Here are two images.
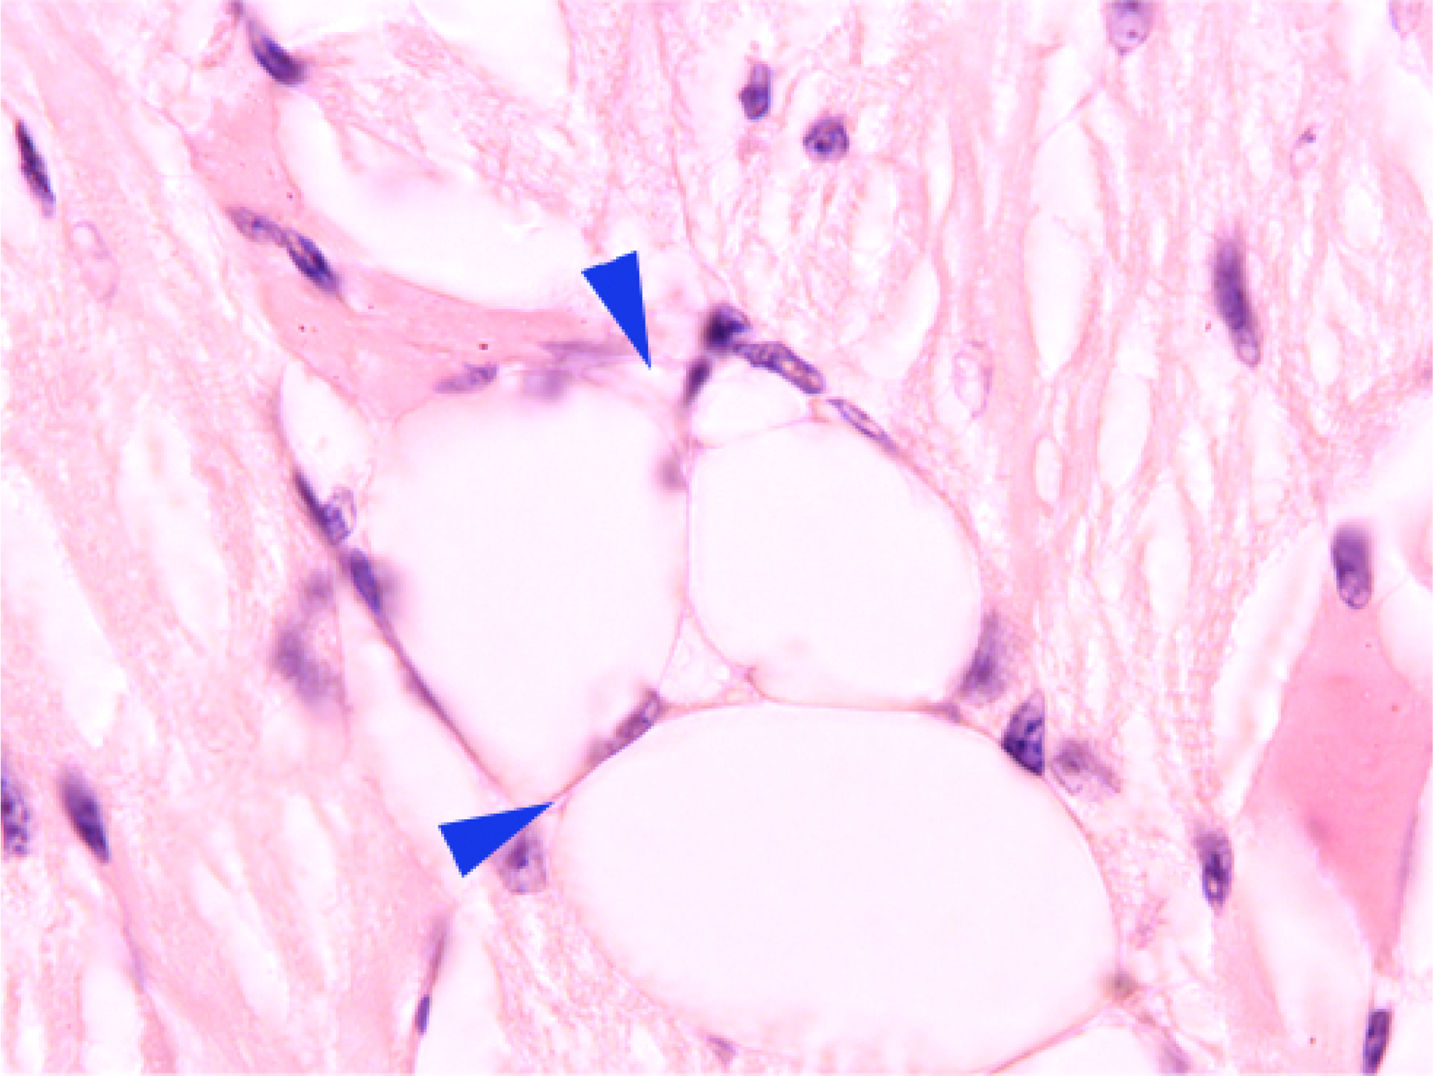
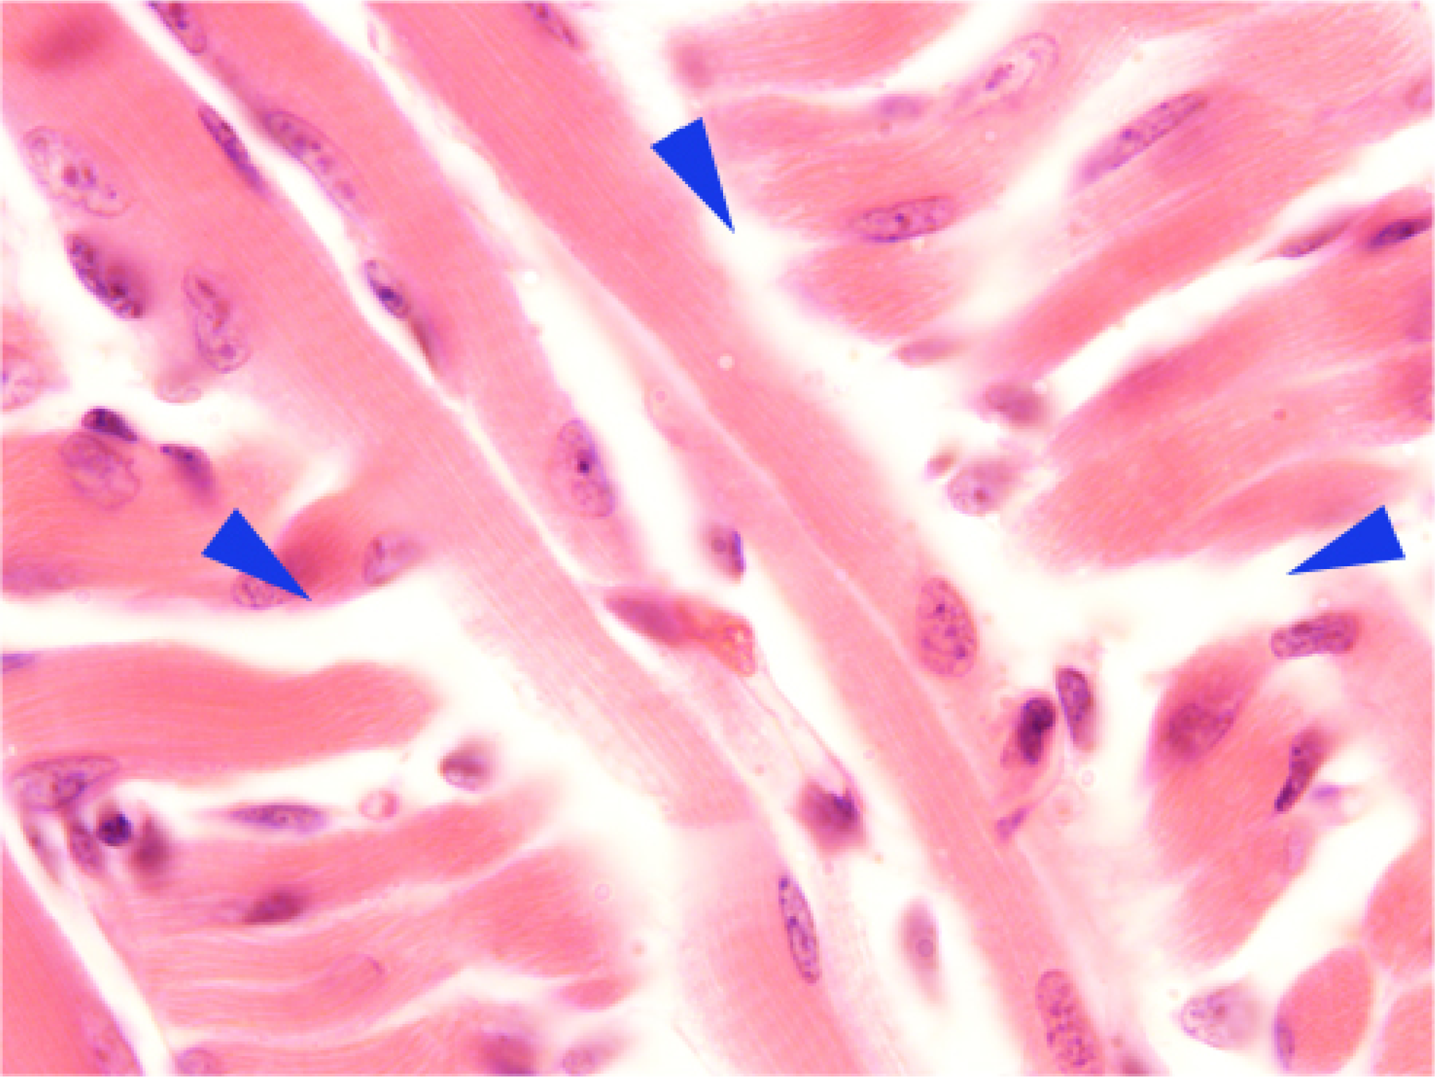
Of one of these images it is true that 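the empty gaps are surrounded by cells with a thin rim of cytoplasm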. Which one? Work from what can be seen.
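First image: round clear spaces are bounded by thin rims with flattened nuclei. On this evidence: the first image.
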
